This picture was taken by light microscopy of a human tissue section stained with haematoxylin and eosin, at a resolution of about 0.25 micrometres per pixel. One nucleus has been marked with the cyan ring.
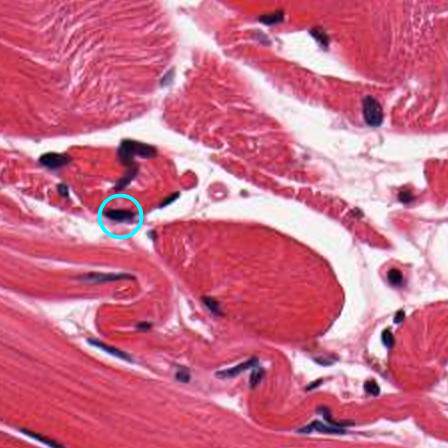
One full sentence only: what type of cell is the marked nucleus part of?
It is to a skeletal muscle fibre that the marked nucleus belongs.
